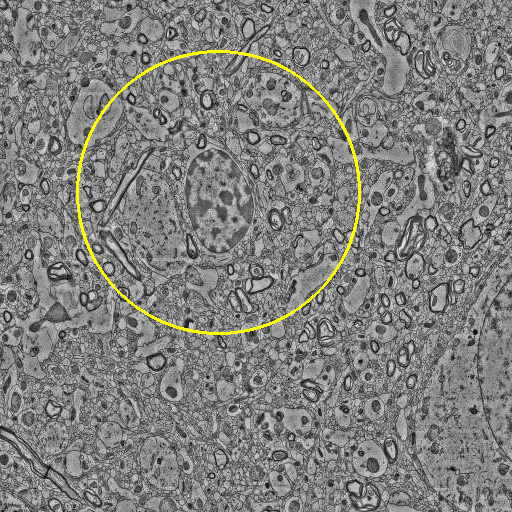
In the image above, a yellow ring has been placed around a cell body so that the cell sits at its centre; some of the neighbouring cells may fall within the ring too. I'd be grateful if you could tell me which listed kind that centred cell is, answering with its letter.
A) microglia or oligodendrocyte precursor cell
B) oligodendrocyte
A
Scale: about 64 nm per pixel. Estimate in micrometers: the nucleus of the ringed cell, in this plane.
About 6 by 4 micrometers for the nucleus, in this plane.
